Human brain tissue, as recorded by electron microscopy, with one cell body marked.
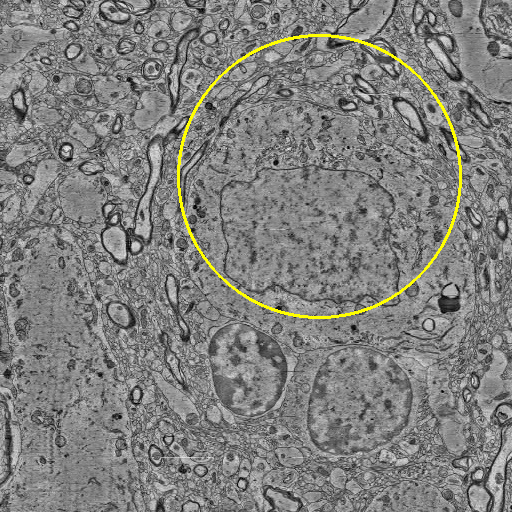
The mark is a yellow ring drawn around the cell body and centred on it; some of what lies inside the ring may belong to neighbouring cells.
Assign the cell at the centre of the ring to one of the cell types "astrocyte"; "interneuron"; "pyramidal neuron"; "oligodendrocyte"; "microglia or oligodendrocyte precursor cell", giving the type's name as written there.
pyramidal neuron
